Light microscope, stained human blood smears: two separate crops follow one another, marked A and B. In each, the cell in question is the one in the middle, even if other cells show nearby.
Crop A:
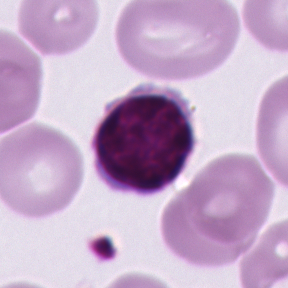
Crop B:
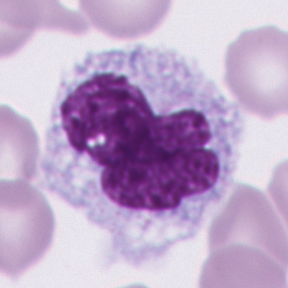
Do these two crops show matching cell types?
no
